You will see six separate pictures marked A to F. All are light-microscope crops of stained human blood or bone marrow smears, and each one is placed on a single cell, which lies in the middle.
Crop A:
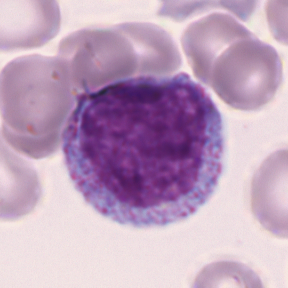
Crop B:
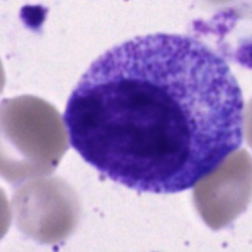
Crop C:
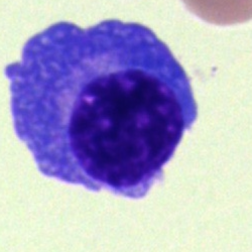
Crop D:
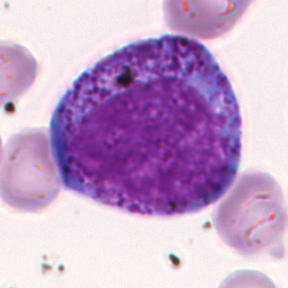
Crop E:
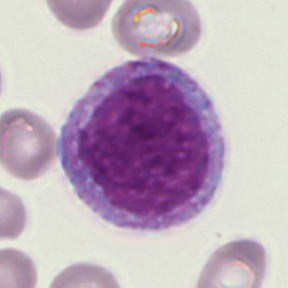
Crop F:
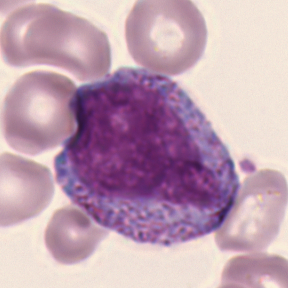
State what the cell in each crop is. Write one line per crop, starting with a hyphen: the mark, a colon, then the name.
- A: promyelocyte
- B: promyelocyte
- C: plasma cell
- D: promyelocyte
- E: promyelocyte
- F: promyelocyte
